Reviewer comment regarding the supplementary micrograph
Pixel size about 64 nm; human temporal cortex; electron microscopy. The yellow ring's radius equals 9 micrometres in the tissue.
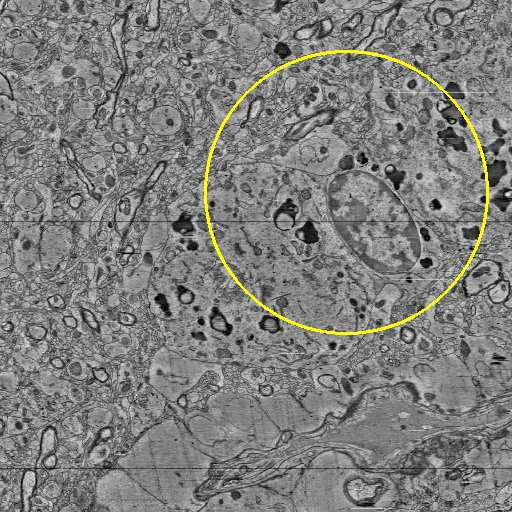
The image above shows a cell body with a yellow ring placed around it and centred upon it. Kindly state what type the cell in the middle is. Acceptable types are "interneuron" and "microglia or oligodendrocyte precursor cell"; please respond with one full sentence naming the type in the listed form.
In the image above, the cell on which the yellow ring is centred is a microglial cell or oligodendrocyte precursor cell.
